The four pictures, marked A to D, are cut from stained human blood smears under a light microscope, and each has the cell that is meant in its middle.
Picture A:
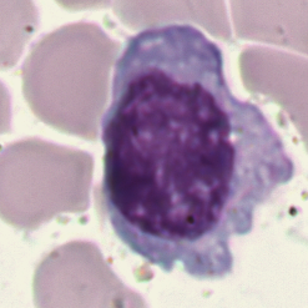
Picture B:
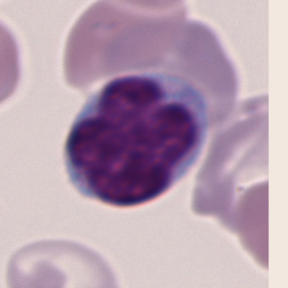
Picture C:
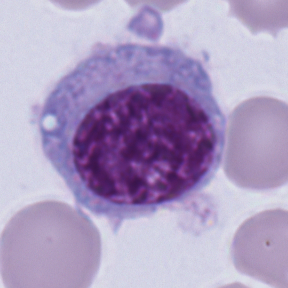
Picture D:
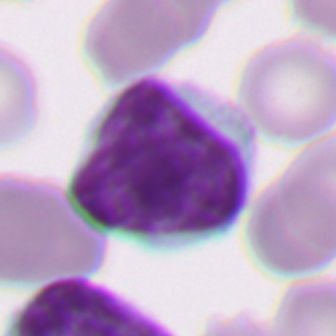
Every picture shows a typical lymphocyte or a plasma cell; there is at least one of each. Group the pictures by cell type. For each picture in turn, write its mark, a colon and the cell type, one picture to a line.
A: plasma cell
B: typical lymphocyte
C: plasma cell
D: typical lymphocyte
